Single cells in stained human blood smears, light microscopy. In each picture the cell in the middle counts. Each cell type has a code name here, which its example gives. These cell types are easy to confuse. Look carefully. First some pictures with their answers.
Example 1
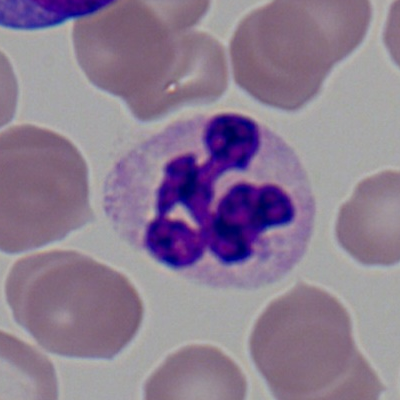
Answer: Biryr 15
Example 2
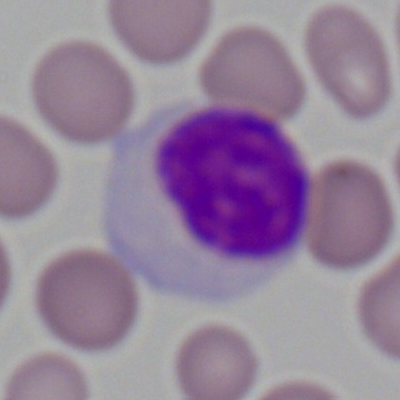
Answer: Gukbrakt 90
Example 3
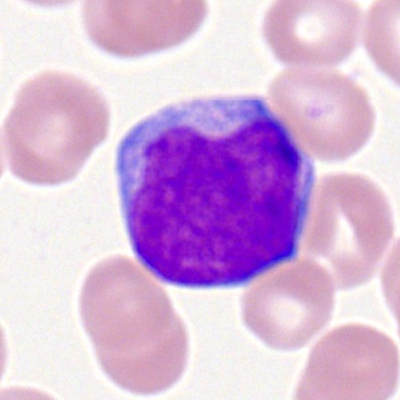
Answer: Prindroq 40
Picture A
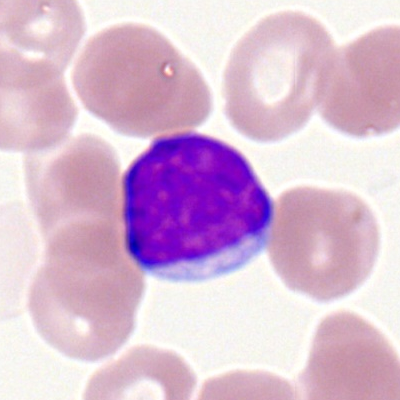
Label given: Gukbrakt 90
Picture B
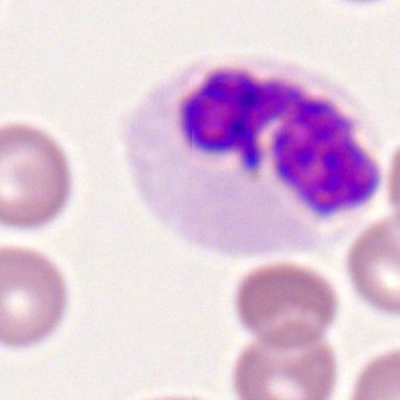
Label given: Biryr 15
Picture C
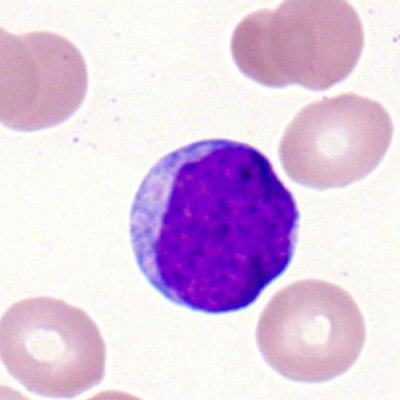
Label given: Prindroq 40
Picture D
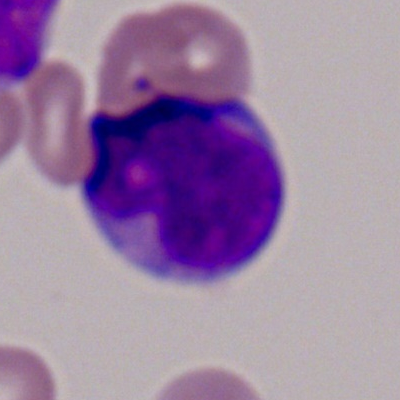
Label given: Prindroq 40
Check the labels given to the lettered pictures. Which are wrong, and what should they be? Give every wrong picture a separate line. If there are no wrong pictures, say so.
Wrong: C (Prindroq 40); correct: Gukbrakt 90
